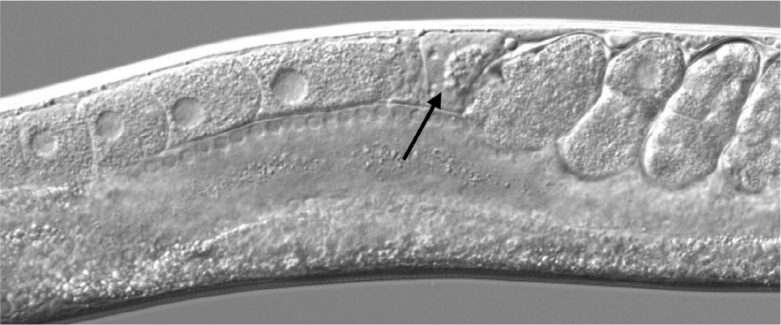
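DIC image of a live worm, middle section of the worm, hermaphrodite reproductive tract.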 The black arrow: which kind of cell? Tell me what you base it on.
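The arrow points at a cluster of small granular bodies in a bulge of the tract. The cluster lies between large nucleated cells on the left and oval eggs on the right. The bodies are far smaller than the neighbouring large cells.
Sperm.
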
